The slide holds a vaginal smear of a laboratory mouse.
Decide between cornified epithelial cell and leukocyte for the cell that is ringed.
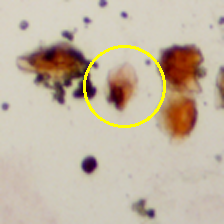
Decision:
I take the ringed cell for a cornified epithelial cell.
